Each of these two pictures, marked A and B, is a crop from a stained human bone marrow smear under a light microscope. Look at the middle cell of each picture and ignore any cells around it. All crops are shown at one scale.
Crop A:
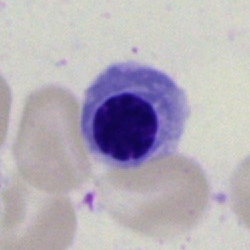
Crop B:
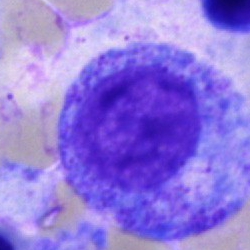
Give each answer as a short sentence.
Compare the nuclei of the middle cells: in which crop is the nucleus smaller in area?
Crop A shows the smaller nucleus, since that in crop B covers about 4 times as much area.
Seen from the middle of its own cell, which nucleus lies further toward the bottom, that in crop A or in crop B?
In crop A the nucleus is shifted more toward the bottom.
